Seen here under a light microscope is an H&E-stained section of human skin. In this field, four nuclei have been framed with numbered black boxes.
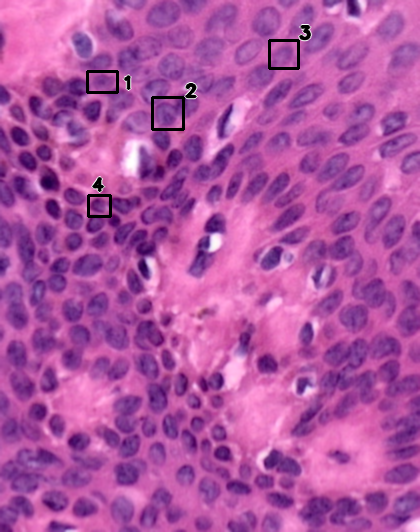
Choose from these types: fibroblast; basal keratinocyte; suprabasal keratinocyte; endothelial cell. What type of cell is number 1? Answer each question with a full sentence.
The numbered cell 1 in this field is a basal keratinocyte.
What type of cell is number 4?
Recognised here as a basal keratinocyte is the cell numbered 4.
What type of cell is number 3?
At number 3, the marked cell is a suprabasal keratinocyte.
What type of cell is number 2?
The cell indicated with the number 2 is classed as a basal keratinocyte.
